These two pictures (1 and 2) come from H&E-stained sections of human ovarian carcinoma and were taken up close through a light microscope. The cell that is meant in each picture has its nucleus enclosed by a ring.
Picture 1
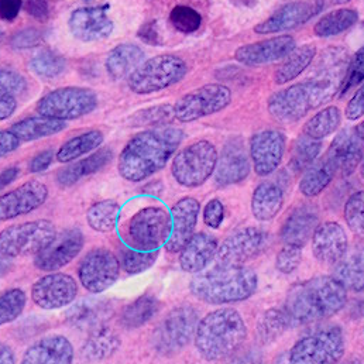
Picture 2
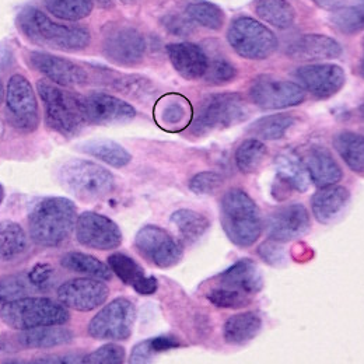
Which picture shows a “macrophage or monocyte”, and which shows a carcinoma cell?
1: carcinoma cell
2: macrophage or monocyte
